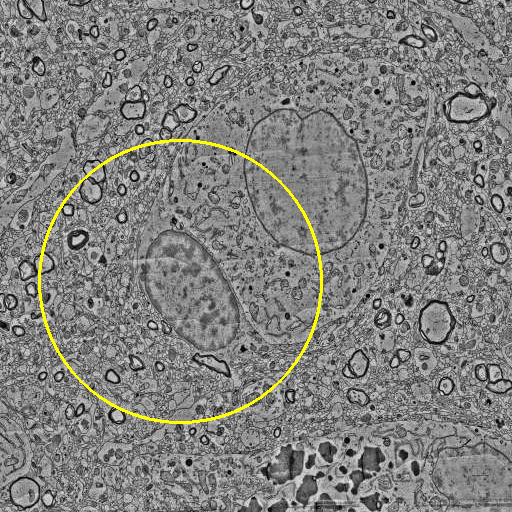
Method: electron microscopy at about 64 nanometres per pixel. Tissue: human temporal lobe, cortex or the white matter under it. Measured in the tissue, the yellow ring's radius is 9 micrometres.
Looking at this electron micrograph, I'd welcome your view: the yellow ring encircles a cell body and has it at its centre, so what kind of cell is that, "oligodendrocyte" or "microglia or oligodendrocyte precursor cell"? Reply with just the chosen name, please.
oligodendrocyte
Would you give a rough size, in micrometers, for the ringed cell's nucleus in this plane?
About 8 by 5 micrometres, the nucleus being clearly longer than it is wide in this plane.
